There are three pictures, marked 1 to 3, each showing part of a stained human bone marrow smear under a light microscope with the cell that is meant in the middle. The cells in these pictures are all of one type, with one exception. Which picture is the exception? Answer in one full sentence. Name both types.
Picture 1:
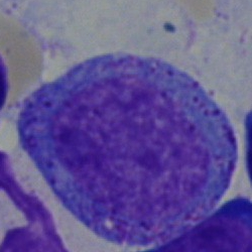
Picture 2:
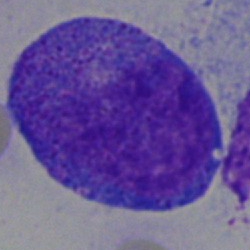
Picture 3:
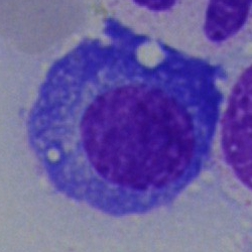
Picture 3 is the odd one out: it shows a plasma cell, while the others show promyelocytes.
